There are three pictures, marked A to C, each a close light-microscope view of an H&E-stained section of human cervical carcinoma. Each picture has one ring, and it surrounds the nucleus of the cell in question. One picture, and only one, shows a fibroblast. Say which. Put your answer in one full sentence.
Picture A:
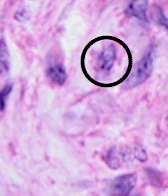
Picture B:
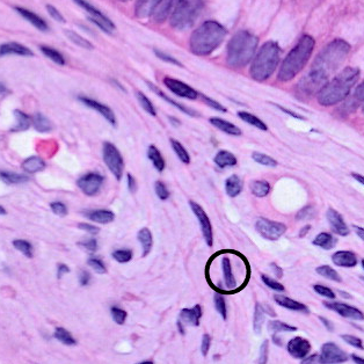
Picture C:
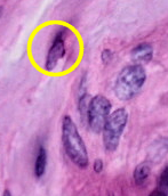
The fibroblast is the one in picture B.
